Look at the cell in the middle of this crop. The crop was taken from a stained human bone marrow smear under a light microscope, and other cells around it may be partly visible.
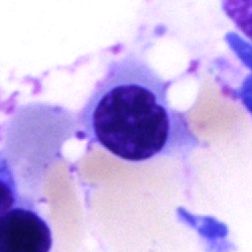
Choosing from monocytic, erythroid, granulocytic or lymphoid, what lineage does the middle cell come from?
erythroid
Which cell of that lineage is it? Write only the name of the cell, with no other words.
erythroblast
